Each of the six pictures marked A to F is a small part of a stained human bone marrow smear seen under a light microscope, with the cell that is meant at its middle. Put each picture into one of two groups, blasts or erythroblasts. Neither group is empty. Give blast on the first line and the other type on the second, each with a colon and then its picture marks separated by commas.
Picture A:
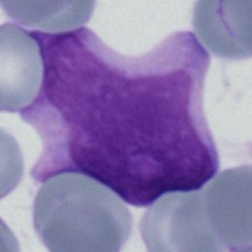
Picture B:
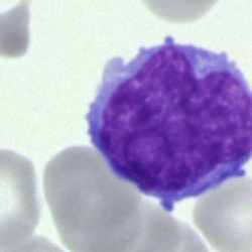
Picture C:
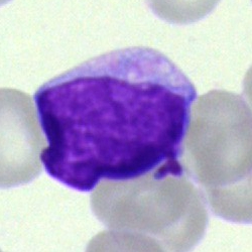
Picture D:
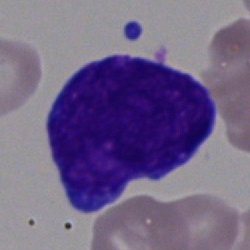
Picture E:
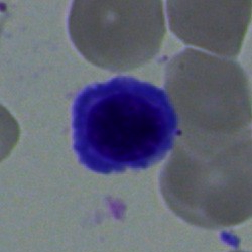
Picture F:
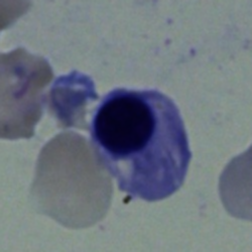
blast: A, B, C, D
erythroblast: E, F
